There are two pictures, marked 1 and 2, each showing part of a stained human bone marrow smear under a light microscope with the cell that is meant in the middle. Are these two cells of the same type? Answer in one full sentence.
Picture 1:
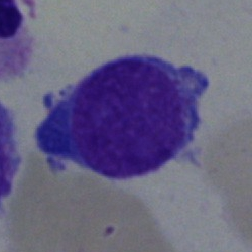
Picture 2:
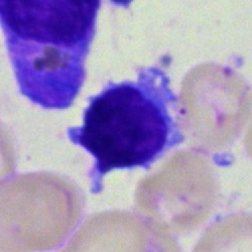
Yes, both are lymphocytes.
